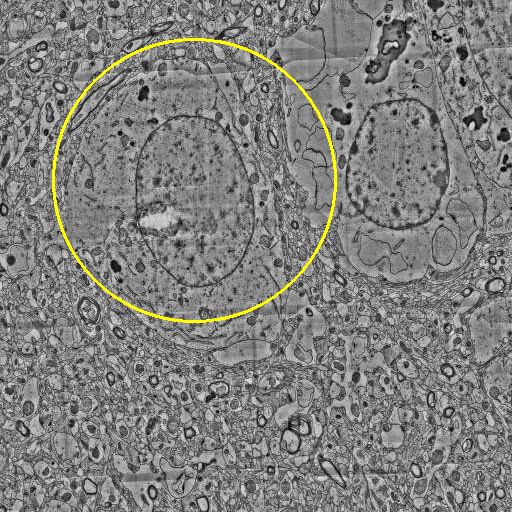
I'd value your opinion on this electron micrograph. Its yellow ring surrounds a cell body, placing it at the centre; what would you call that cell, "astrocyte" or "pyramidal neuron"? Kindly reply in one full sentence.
It is a pyramidal neuron that sits centred within the yellow ring in this micrograph.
